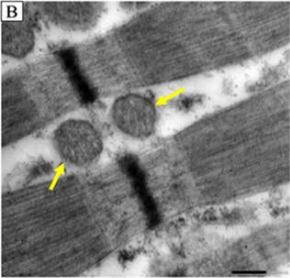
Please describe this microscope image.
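This is skeletal muscle seen at high magnification, showing parts of striated myofibrils with their dark transverse z lines. Two small round mitochondria with double membranes and internal cristae lie in the space between adjacent myofibrils, near the level of the z lines. The myofilaments run in parallel, orderly bundles, and the surrounding sarcoplasm is pale.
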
